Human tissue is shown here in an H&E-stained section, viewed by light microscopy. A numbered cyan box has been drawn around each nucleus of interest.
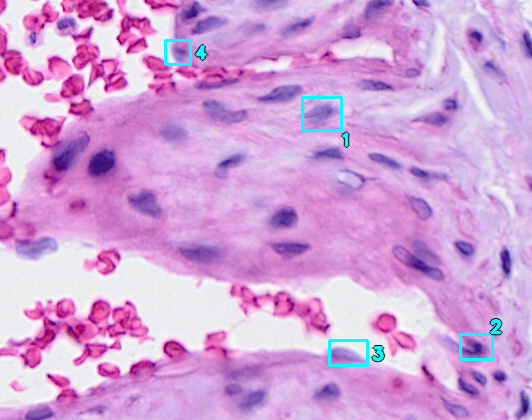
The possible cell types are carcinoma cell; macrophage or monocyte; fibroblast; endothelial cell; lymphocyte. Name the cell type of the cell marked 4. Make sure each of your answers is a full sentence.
The cell to which the number 4 is assigned is an endothelial cell.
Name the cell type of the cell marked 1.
The correct answer for cell 1 is a fibroblast.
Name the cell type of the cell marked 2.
At number 2, the marked cell is an endothelial cell.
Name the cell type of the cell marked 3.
In the tissue shown, cell 3 is an endothelial cell.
